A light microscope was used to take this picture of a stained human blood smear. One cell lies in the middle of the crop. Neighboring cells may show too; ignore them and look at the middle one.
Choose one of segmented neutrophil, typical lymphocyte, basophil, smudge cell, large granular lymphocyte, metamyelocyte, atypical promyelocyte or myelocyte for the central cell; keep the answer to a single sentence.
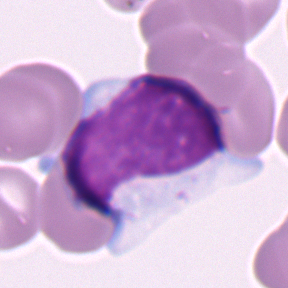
The cell at the middle of the crop is recognized as a large granular lymphocyte.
